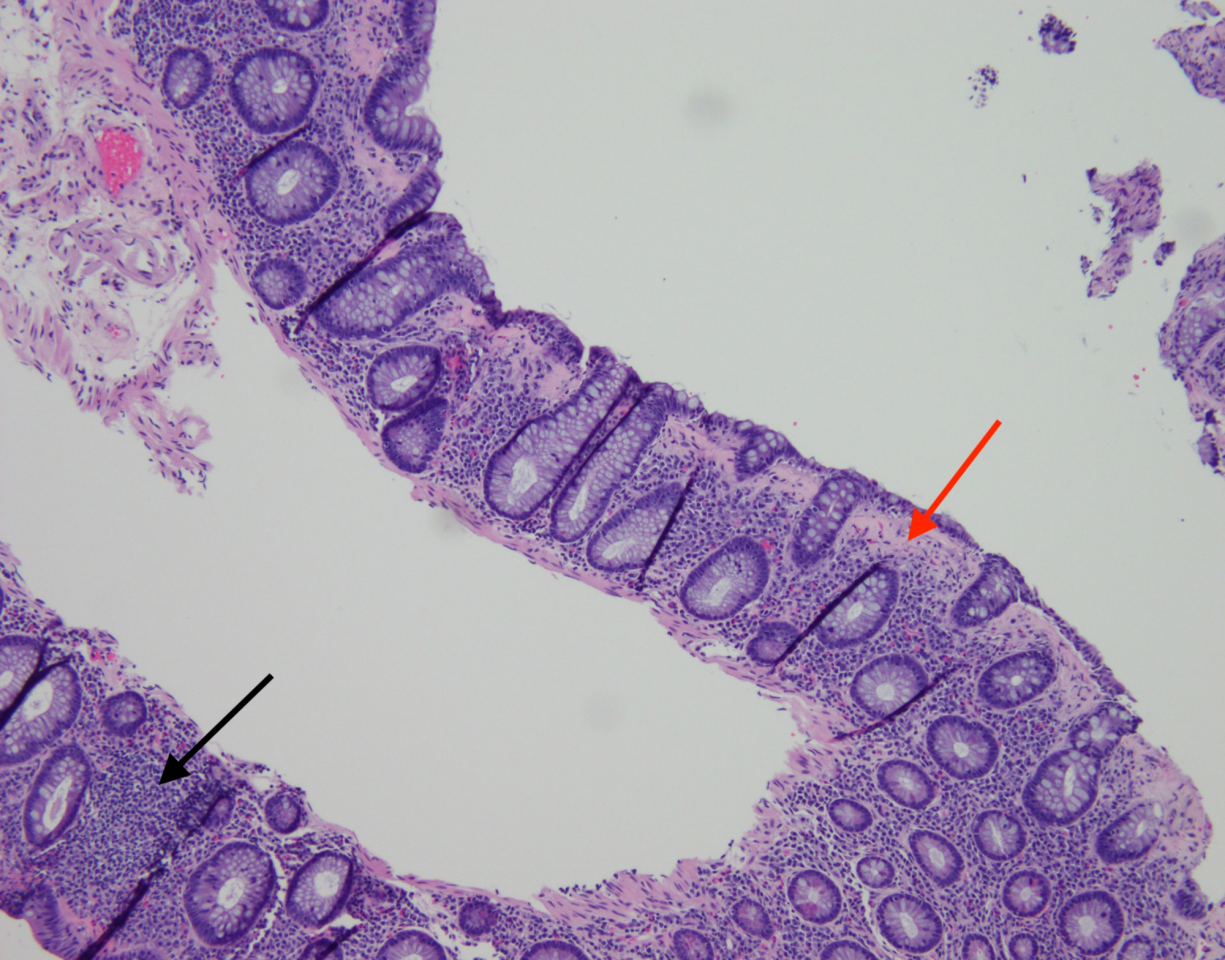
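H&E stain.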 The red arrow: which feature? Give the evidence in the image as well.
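A pale pink, acellular band lies directly beneath the surface epithelium where the red arrow points. The band runs along the luminal surface above the crypts.
Conclusion: subepithelial collagen band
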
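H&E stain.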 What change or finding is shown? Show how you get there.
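Colonic crypts with goblet cells are preserved in a regular arrangement. A thickened pink band lies beneath the surface epithelium. The lamina propria is crowded with small dark round cells. That points to this answer: collagenous colitis.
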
